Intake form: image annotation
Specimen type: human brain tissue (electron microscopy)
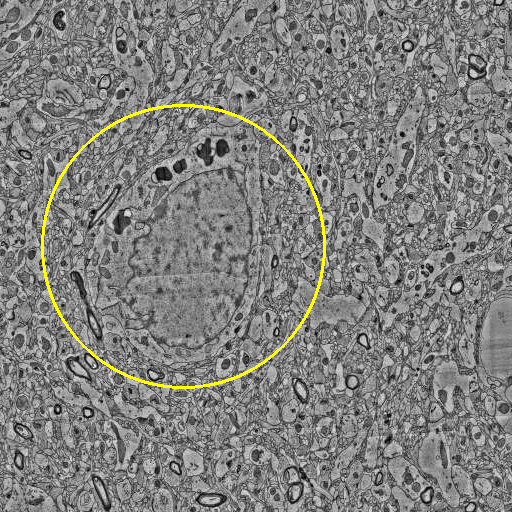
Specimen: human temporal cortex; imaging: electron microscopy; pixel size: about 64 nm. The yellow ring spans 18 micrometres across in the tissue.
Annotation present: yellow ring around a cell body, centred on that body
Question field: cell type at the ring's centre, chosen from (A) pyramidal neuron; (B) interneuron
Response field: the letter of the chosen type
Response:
B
